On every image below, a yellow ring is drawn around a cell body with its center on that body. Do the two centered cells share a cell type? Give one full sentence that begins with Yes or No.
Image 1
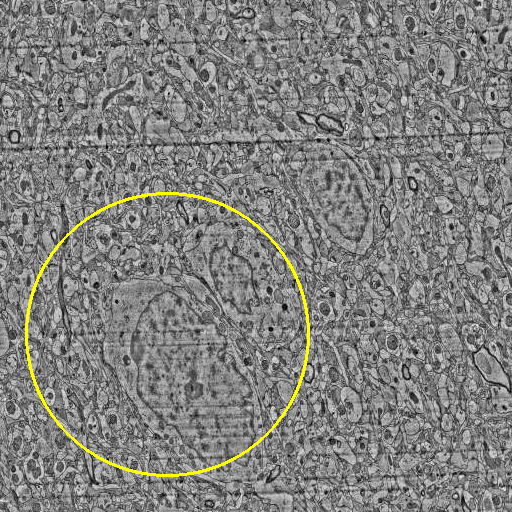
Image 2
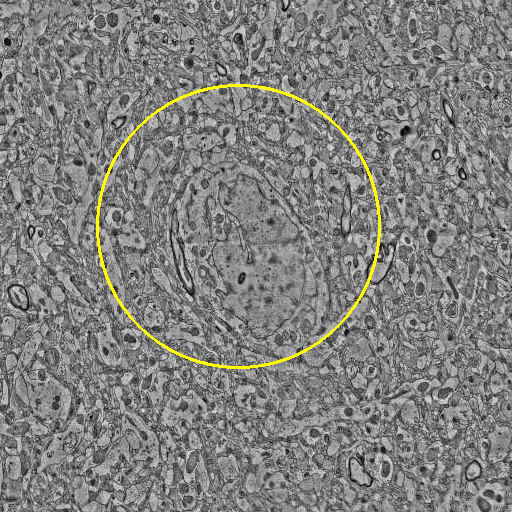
Yes, the centered cells in the two images are of a single cell type.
